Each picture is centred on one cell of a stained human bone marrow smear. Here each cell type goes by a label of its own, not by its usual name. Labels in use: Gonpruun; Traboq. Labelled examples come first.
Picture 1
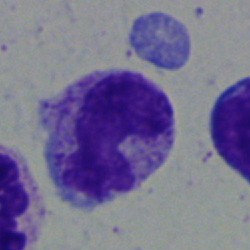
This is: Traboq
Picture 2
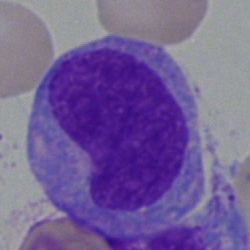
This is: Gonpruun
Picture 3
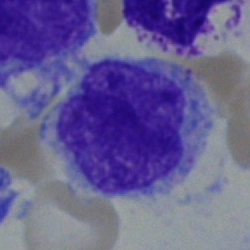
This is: Gonpruun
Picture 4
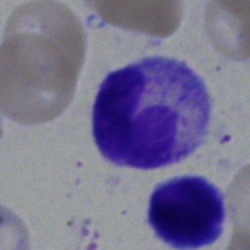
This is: Traboq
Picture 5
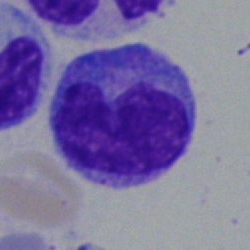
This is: Gonpruun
